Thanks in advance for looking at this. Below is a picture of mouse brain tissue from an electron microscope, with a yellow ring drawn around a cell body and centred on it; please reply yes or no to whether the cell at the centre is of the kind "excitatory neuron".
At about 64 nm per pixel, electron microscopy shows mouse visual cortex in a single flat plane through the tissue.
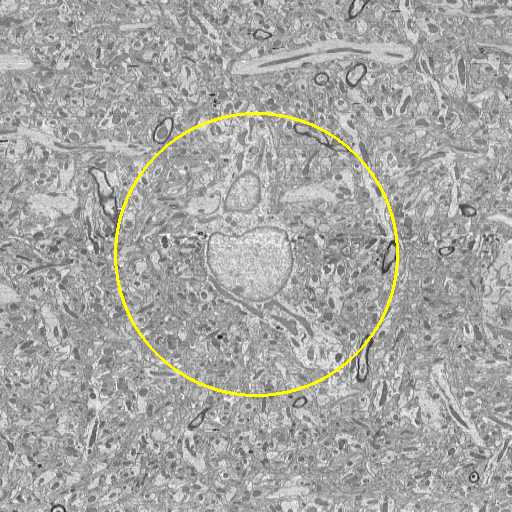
no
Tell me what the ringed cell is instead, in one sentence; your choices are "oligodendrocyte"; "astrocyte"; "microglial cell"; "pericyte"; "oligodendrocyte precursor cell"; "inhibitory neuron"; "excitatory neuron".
Instead, the ring in this picture marks an astrocyte.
